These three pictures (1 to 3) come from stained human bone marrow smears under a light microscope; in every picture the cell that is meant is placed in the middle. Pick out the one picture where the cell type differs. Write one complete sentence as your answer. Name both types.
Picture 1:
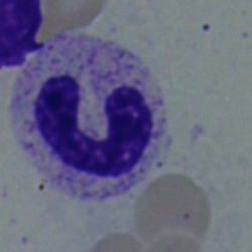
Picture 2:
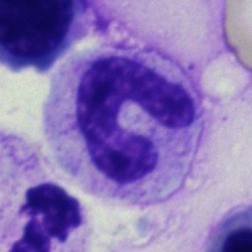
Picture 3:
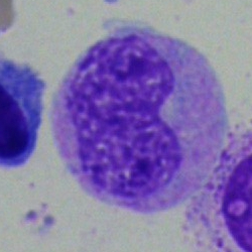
Picture 3 differs, because its cell is a metamyelocyte and the rest are band neutrophils.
